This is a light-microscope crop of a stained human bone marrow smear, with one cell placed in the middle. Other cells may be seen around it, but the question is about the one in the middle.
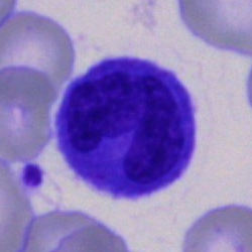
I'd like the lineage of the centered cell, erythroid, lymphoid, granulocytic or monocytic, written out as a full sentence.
Regarding the central cell, its lineage is monocytic.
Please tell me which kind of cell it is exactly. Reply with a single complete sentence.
The target cell in the middle of the crop is a monocyte.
